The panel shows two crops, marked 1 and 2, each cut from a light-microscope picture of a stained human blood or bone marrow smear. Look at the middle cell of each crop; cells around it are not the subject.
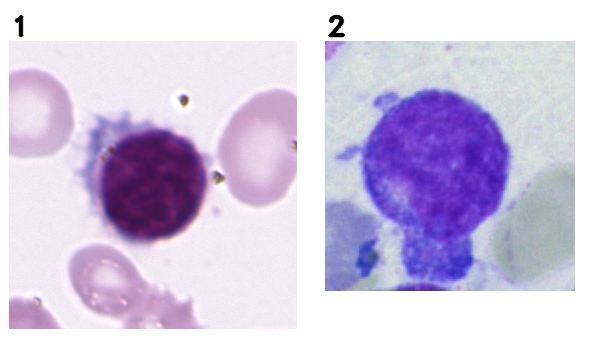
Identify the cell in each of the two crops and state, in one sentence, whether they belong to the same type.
No, crop 1 matches a hairy cell and crop 2 matches a blast.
